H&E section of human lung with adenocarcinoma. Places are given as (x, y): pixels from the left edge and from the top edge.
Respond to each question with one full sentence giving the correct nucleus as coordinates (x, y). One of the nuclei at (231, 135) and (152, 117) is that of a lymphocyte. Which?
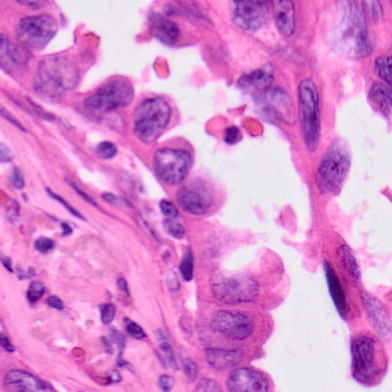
The nucleus lying at (231, 135) is the nucleus of a lymphocyte.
